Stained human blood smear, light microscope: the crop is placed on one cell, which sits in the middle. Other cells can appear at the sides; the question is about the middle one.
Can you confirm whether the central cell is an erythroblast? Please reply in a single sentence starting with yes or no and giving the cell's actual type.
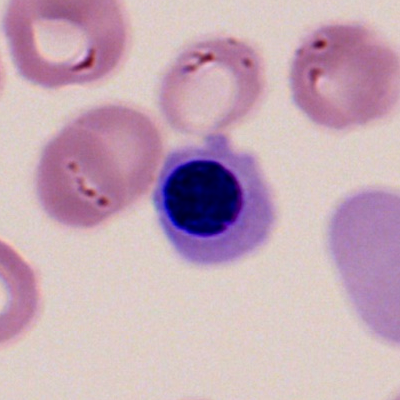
Yes, the central cell is to be recorded as an erythroblast.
